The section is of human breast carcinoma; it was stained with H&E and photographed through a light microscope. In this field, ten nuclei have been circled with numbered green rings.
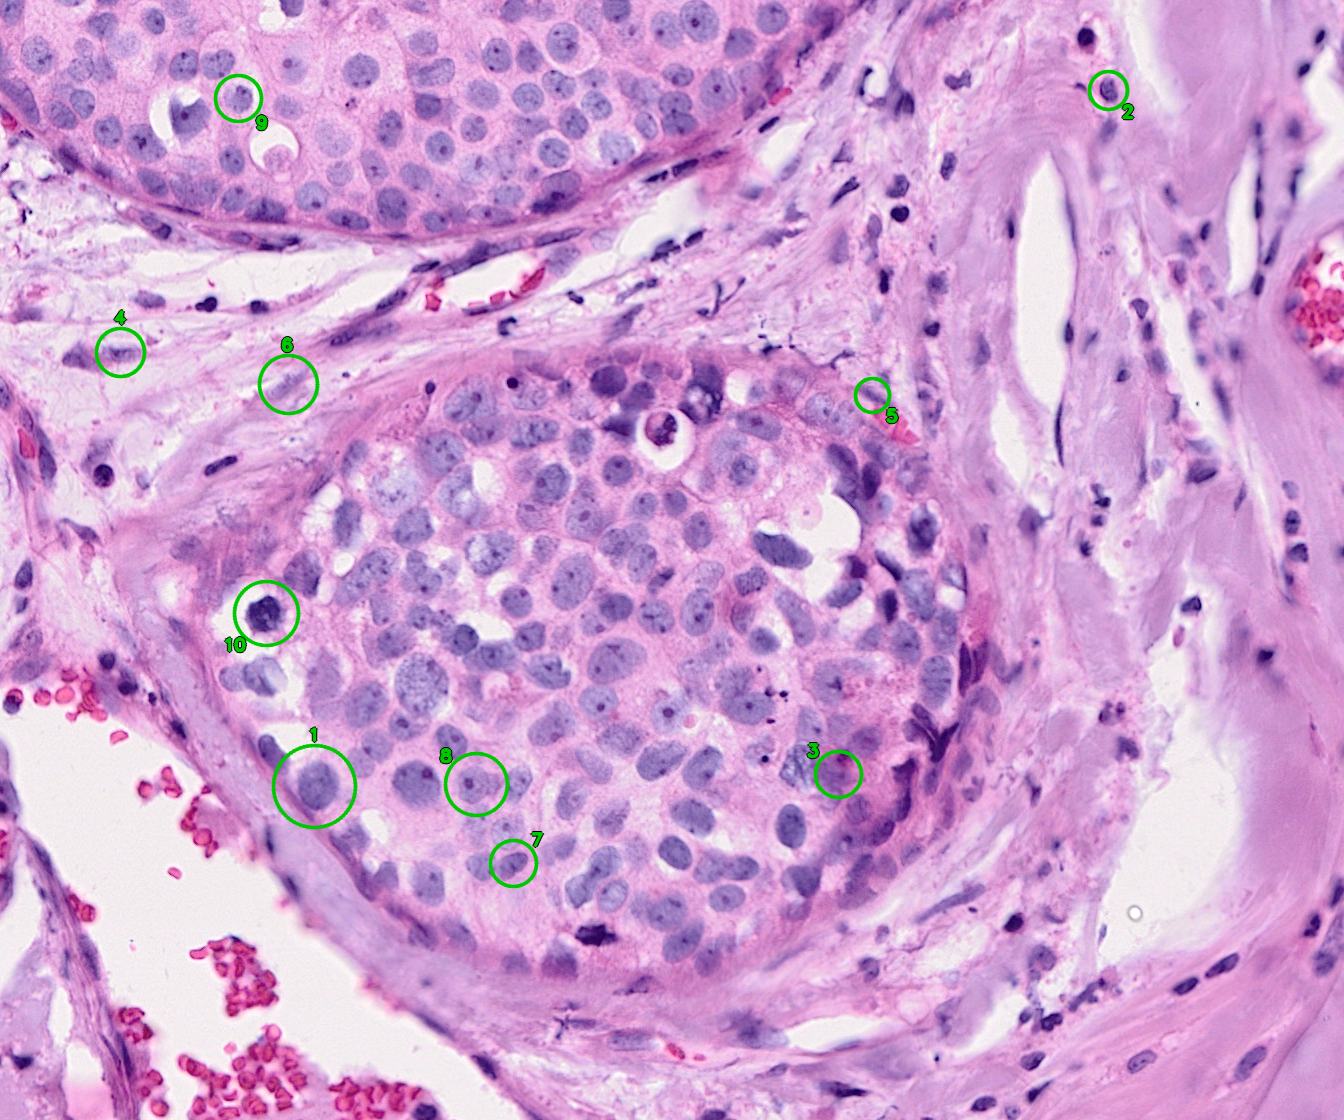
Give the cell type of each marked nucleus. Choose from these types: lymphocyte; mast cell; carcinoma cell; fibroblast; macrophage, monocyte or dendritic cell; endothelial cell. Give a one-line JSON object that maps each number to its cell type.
{"1": "carcinoma cell", "2": "mast cell", "3": "carcinoma cell", "4": "fibroblast", "5": "endothelial cell", "6": "fibroblast", "7": "carcinoma cell", "8": "carcinoma cell", "9": "carcinoma cell", "10": "carcinoma cell"}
